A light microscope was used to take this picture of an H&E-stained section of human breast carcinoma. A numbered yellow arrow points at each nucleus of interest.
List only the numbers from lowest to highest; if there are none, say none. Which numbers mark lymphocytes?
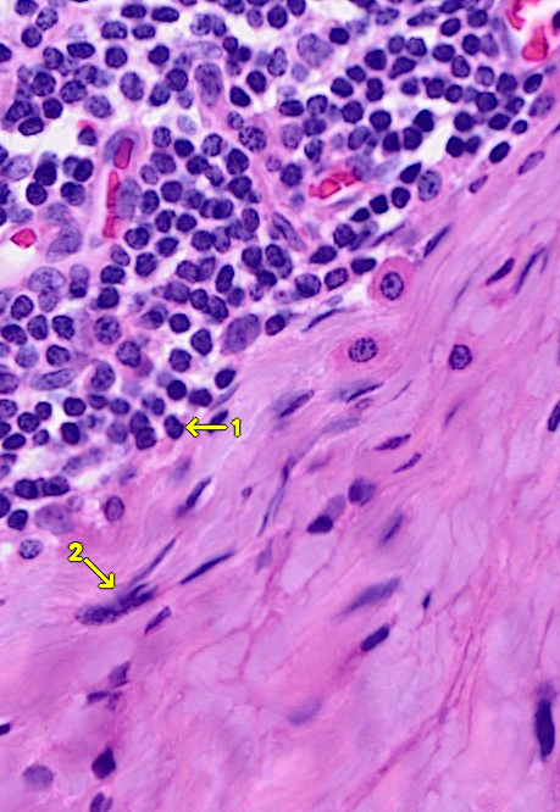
1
